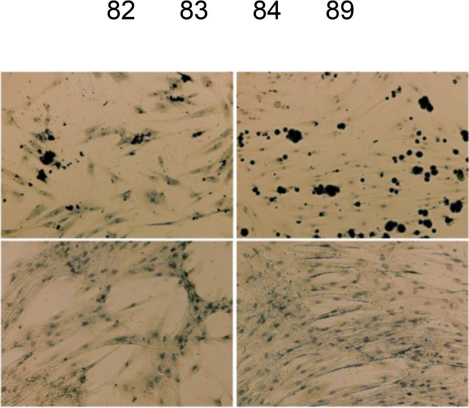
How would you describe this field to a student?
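The cells are mostly long and spindle-shaped, lying side by side in dense, streaming sheets on a pale tan background. Among them are black deposits, ranging from fine dark grains along the cells to large round black nodules.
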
